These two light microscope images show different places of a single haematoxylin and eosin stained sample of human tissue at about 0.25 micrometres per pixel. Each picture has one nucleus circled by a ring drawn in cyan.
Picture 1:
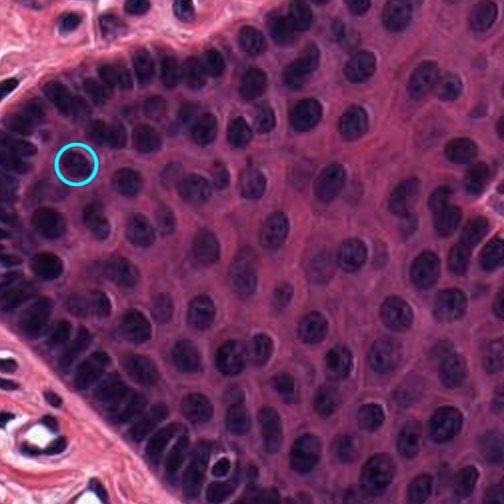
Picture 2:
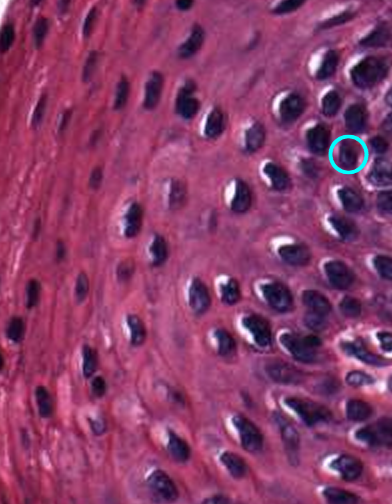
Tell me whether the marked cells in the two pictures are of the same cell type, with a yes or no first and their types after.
Yes, both are squamous epithelial cells.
